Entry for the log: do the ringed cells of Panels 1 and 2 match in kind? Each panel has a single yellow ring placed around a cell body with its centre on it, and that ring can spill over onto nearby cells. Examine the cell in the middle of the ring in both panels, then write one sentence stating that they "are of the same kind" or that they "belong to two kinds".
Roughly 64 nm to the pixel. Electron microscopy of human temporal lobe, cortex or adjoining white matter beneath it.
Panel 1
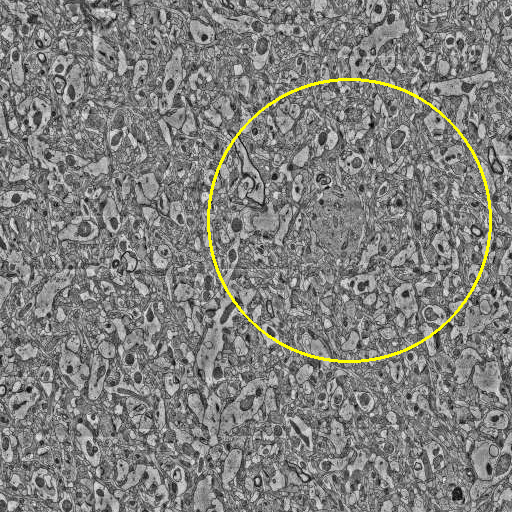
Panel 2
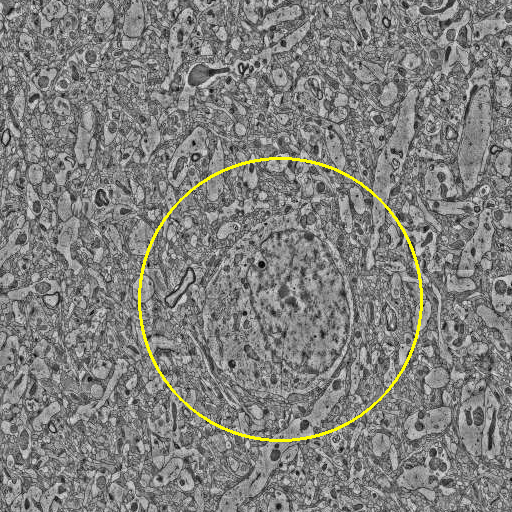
The centre cell of Panel 1's ring and that of Panel 2's ring belong to two kinds.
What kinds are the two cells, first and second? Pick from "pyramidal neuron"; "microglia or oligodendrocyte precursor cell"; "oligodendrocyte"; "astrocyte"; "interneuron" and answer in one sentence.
The second picture holds an interneuron in its ring, and the first holds an oligodendrocyte.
